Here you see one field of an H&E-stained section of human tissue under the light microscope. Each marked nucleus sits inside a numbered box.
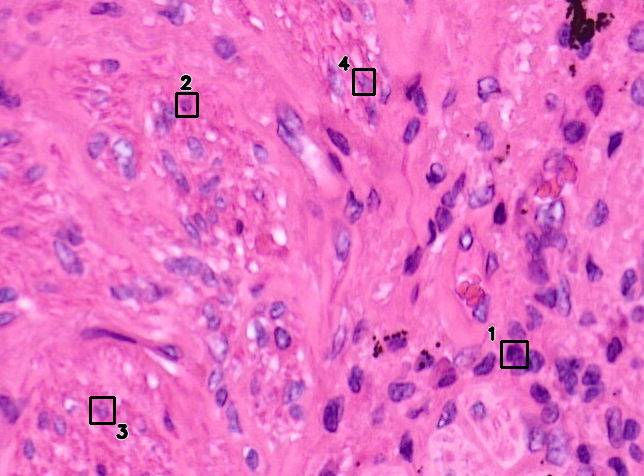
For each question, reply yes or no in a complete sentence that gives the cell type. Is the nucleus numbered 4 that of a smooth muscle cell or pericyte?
Yes, so the cell at label 4 is a smooth muscle cell or pericyte.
